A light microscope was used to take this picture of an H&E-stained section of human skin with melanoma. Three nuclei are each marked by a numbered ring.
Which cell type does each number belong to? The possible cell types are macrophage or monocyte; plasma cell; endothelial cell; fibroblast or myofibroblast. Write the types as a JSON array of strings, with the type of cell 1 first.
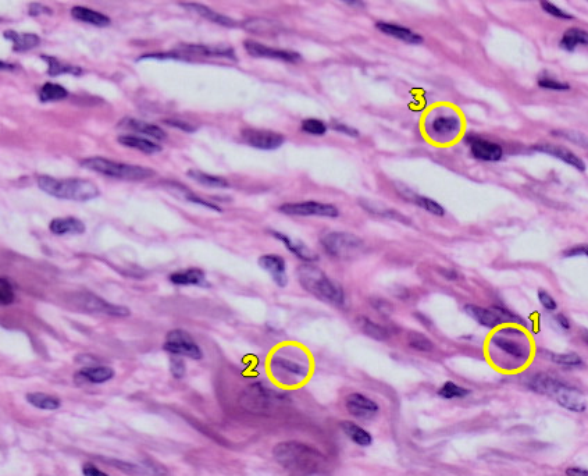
["endothelial cell", "fibroblast or myofibroblast", "plasma cell"]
